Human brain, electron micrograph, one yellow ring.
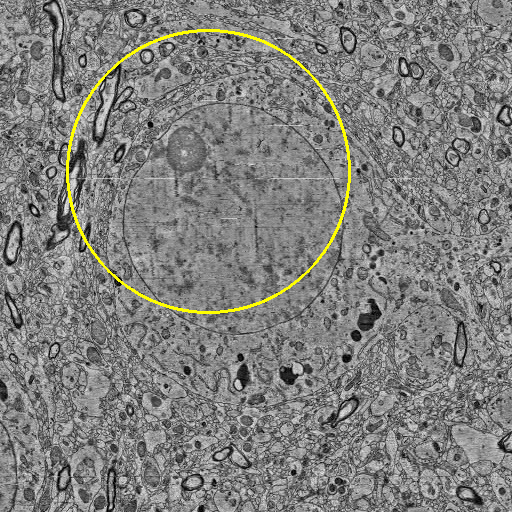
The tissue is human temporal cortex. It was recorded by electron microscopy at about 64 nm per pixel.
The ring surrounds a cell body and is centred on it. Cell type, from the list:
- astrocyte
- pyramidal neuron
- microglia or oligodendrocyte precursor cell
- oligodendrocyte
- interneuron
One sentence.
The yellow ring circles a pyramidal neuron.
